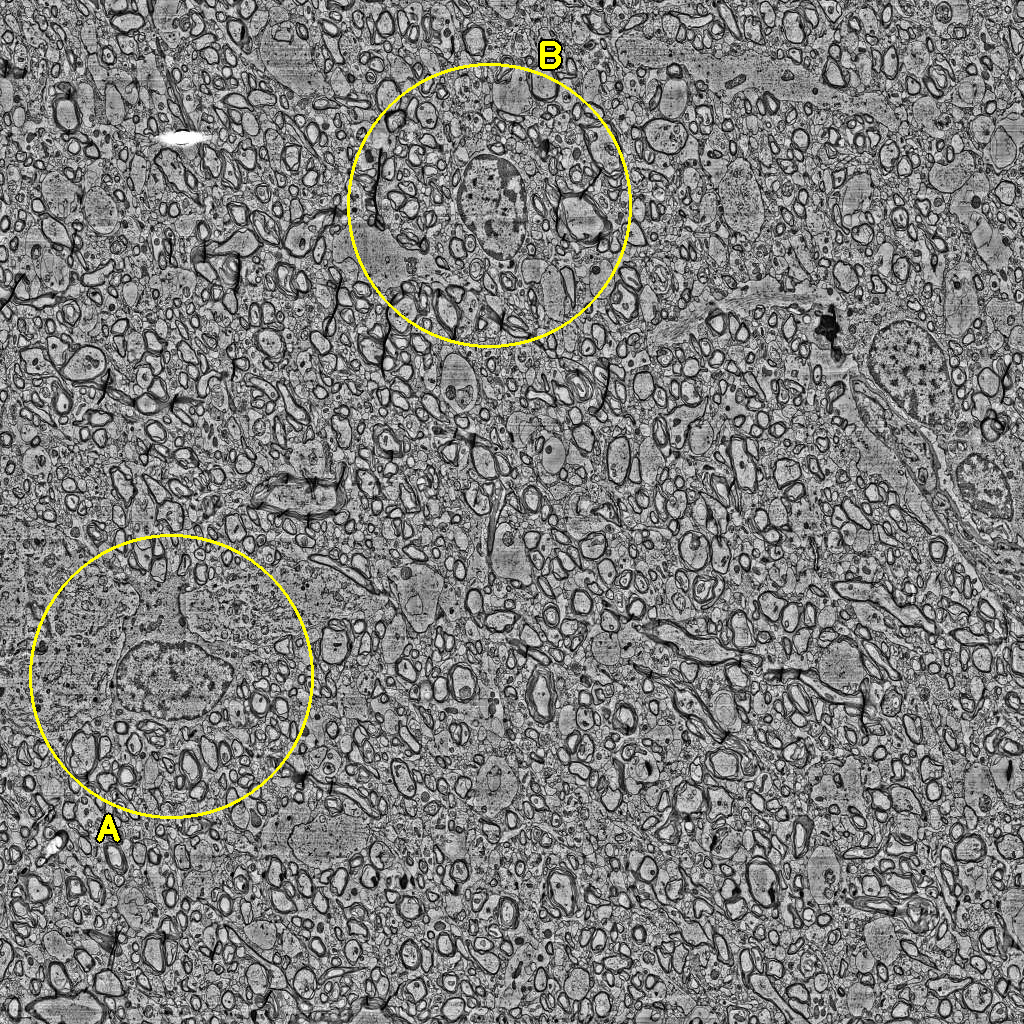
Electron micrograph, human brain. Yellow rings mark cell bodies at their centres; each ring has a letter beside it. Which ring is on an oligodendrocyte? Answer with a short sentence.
Ring A is centred on it.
